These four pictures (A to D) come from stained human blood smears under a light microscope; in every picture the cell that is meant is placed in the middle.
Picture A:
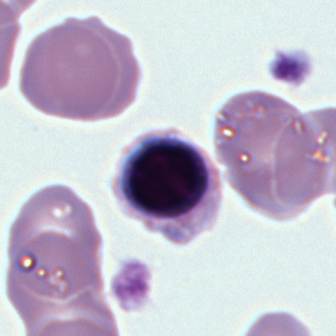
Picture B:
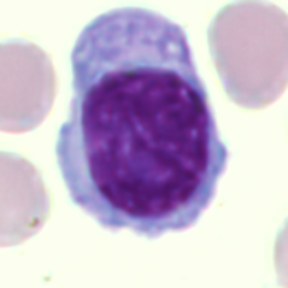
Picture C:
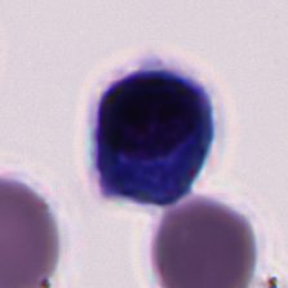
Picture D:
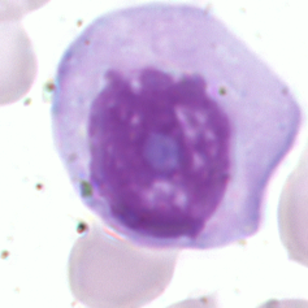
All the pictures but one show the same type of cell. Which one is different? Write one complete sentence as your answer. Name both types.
Picture A is the odd one out: it shows a normoblast, while the others show plasma cells.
